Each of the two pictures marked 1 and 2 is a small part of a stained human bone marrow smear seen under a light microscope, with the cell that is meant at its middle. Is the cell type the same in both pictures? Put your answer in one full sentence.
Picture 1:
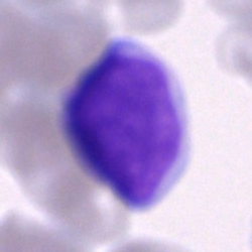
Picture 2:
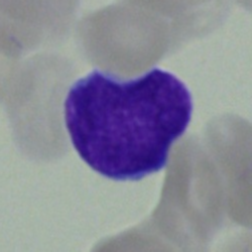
Yes, they are the same type: both are blasts.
